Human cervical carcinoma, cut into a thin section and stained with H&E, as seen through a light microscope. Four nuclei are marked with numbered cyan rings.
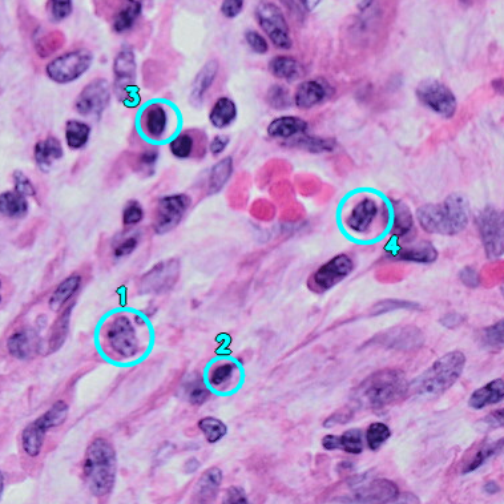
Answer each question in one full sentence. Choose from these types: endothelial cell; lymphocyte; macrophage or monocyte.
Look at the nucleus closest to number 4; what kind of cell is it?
Closest to number 4 lies the nucleus of a macrophage or monocyte.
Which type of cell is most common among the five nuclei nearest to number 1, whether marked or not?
Endothelial cells account for more than half of the five nuclei nearest to number 1.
